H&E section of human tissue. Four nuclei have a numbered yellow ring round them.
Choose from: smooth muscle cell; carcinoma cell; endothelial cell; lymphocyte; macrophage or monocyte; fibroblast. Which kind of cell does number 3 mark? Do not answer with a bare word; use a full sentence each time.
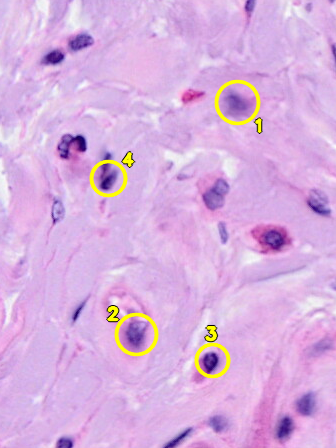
The marked cell bearing number 3 is a lymphocyte.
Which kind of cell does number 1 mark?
Numbered cell 1 is a fibroblast in this tissue section.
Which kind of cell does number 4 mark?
As for number 4, that cell is a fibroblast.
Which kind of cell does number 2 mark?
The cell with the number 2 is an endothelial cell.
